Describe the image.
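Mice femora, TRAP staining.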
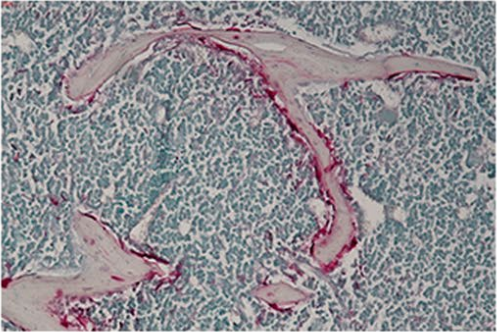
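Several pale pink bony trabeculae form long, curved and branching bands across the field. Along their edges lie dark red-magenta stained cells. These cells are flattened or irregular and often sit in small clusters pressed against the bone surface. The spaces between the trabeculae are filled with densely packed small marrow cells counterstained blue-green. A few small clear spaces and vessels are scattered through the marrow.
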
